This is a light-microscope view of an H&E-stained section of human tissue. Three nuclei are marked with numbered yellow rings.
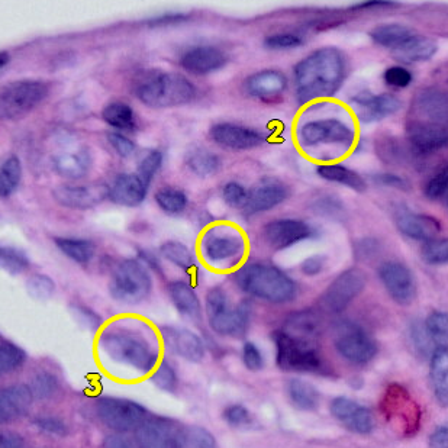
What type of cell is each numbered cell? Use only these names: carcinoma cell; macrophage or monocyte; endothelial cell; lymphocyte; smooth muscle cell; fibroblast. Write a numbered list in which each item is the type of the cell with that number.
1. macrophage or monocyte
2. macrophage or monocyte
3. carcinoma cell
